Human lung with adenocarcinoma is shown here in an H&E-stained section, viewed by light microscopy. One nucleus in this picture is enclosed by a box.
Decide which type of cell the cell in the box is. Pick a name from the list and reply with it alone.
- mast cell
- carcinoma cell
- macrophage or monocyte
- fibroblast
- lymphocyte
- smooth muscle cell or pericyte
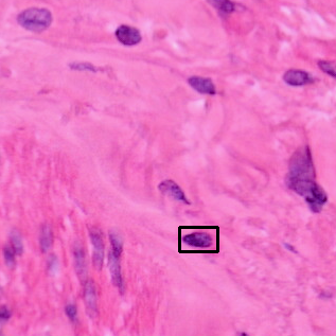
mast cell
